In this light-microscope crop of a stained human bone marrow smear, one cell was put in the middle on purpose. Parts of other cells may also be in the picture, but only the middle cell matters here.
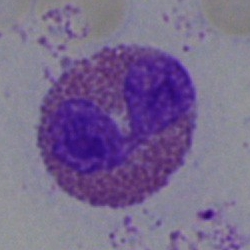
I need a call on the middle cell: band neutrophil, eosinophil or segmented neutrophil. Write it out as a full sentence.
The cell marked by its central position in the crop is an eosinophil.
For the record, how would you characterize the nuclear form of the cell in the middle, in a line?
You can count two or more lobes in this nucleus.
